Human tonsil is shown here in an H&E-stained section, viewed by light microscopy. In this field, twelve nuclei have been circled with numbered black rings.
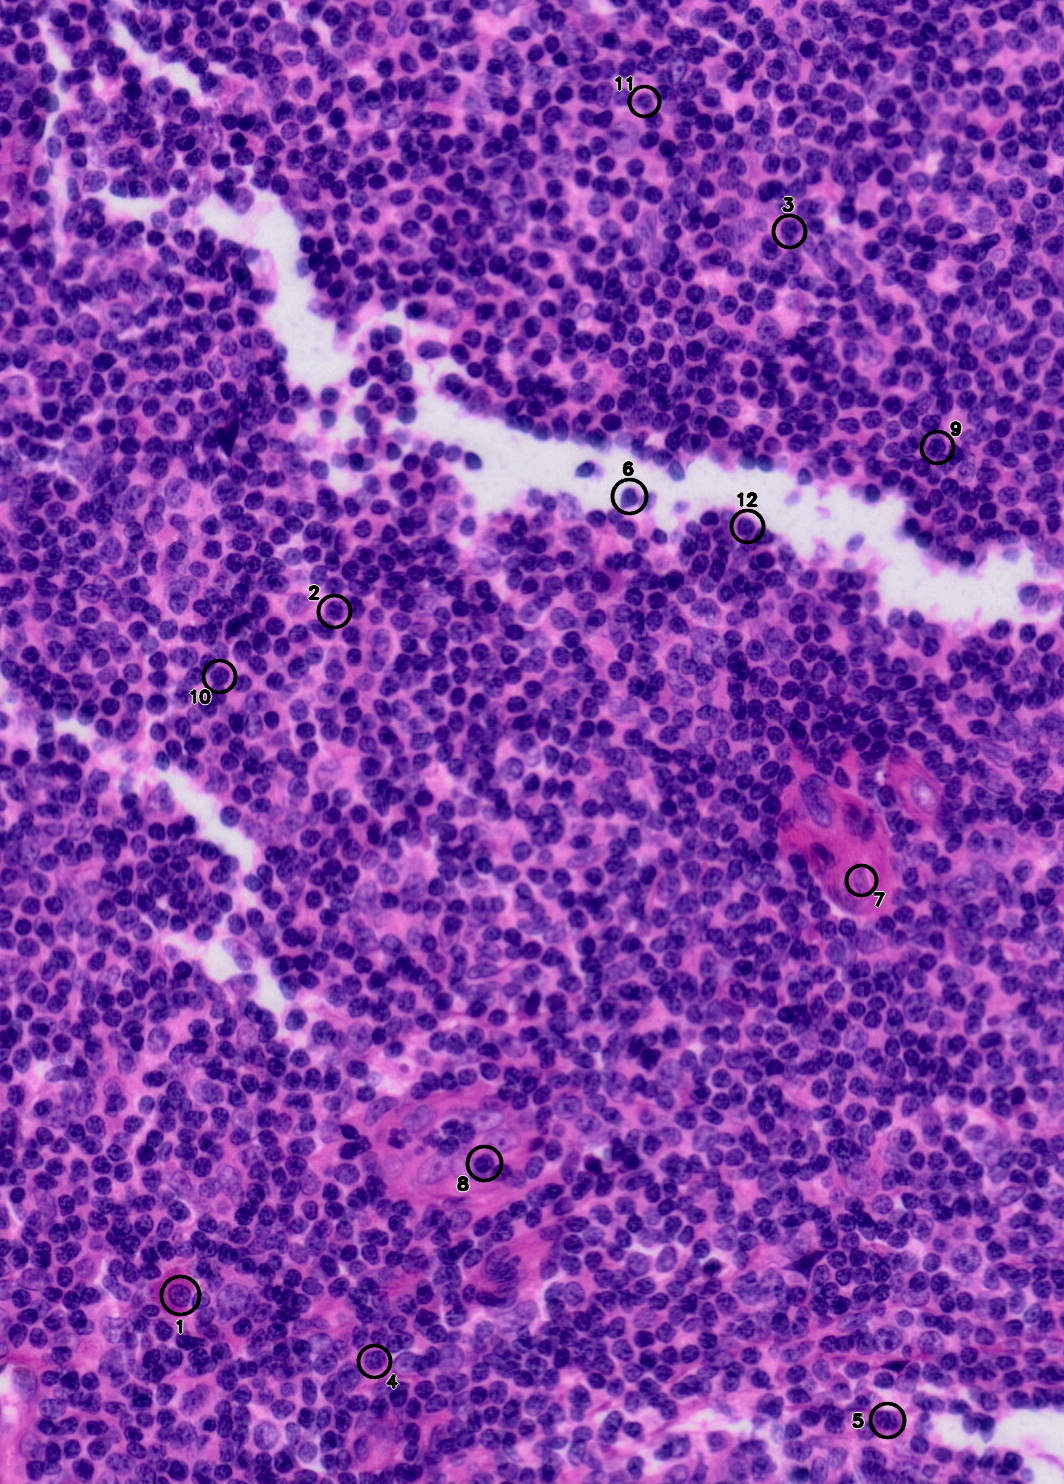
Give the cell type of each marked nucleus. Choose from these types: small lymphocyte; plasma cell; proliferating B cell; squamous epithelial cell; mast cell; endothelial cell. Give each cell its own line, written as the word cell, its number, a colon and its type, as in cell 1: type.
cell 1: plasma cell
cell 2: small lymphocyte
cell 3: small lymphocyte
cell 4: plasma cell
cell 5: plasma cell
cell 6: small lymphocyte
cell 7: endothelial cell
cell 8: endothelial cell
cell 9: small lymphocyte
cell 10: small lymphocyte
cell 11: small lymphocyte
cell 12: small lymphocyte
